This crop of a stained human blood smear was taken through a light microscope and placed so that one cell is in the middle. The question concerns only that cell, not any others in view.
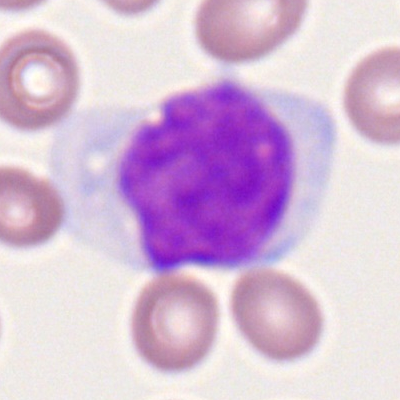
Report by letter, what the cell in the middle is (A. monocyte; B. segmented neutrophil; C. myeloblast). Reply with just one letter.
A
